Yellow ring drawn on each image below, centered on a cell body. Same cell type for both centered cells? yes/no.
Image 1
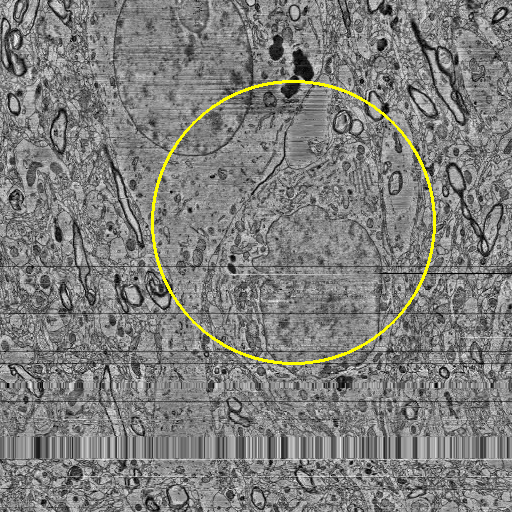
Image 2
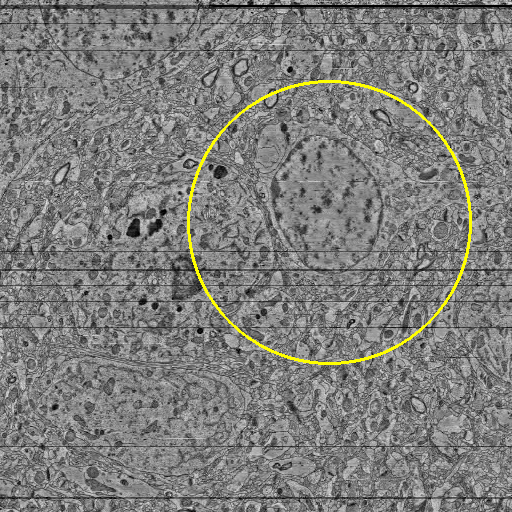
yes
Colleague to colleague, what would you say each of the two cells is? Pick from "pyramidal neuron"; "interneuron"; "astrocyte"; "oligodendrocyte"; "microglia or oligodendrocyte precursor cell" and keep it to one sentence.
The ring centre holds an interneuron in each of the two pictures.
